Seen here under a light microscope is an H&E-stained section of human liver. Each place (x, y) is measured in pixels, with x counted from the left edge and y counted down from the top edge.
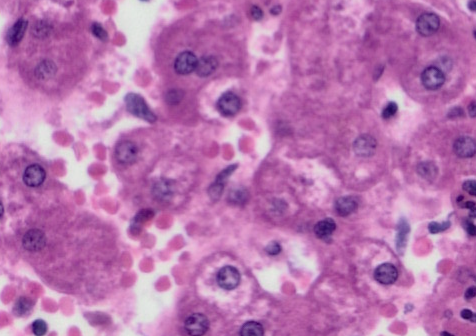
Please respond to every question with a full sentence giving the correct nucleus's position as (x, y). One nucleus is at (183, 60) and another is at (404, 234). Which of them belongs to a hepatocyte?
It is at (183, 60) that the nucleus of a hepatocyte is found.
